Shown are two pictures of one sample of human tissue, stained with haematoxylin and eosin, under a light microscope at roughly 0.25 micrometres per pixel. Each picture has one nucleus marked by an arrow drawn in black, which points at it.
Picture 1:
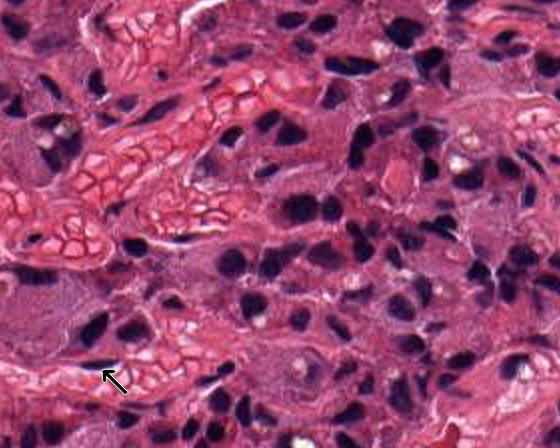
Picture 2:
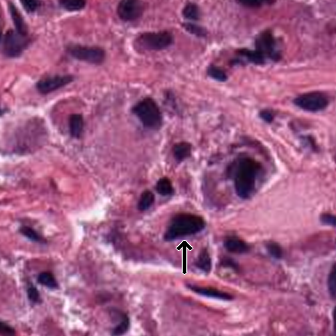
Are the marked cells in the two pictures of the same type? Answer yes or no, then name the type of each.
No, the first is an endothelial cell and the second an anterior pituitary cell.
